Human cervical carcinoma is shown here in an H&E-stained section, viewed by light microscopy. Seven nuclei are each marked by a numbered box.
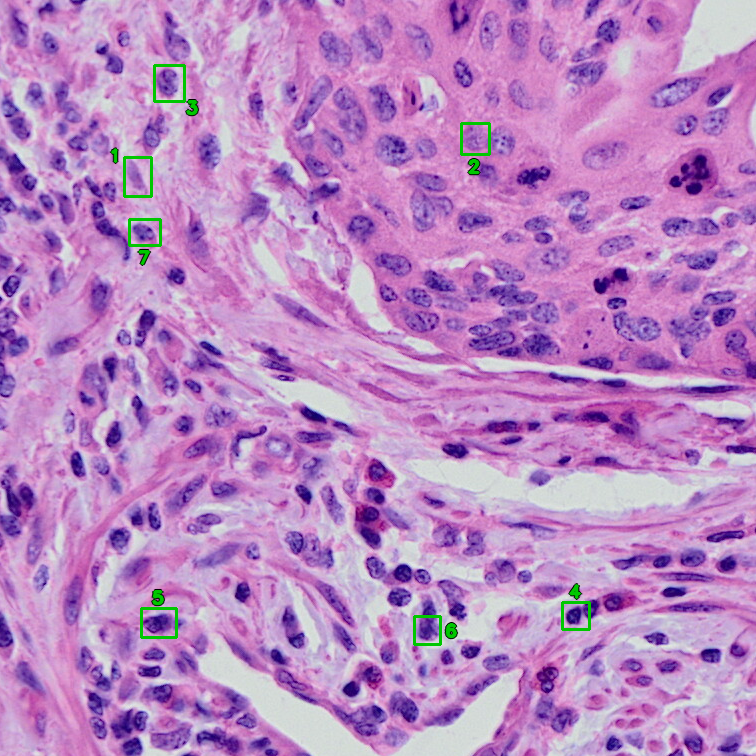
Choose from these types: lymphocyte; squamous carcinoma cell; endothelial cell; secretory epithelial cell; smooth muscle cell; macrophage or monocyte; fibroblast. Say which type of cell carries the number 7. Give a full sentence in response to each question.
Cell 7, as marked in the section, is a lymphocyte.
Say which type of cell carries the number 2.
The cell referred to as 2 is a squamous carcinoma cell.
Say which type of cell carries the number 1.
Identified as a fibroblast is the cell bearing the number 1.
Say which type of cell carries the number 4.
The cell indicated by marker 4 is a lymphocyte in this section.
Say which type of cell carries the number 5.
Numbered cell 5 is a lymphocyte in this tissue section.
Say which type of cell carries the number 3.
Belonging to a macrophage or monocyte is the nucleus that carries the number 3.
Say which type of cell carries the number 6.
Identified as a lymphocyte is the cell bearing the number 6.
